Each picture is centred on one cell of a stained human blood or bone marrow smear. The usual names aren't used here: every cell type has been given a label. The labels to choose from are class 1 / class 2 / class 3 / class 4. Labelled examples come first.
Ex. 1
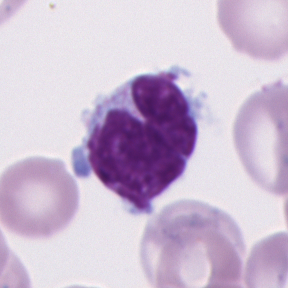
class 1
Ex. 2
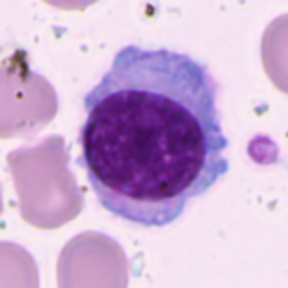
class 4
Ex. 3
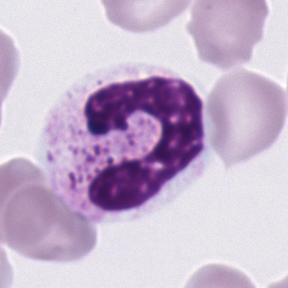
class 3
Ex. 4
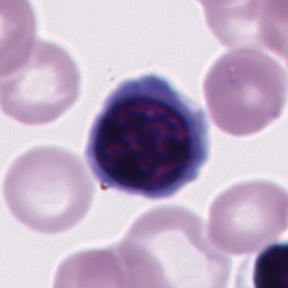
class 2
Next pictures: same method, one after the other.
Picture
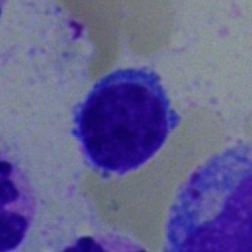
class 1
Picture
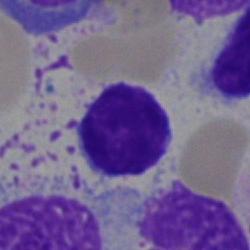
class 1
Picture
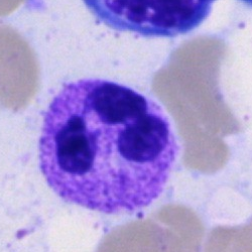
class 3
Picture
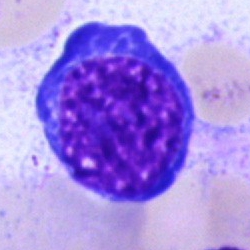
class 2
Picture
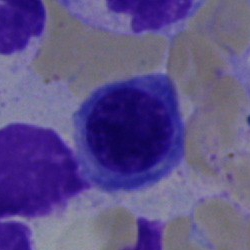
class 2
